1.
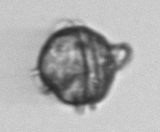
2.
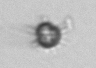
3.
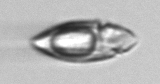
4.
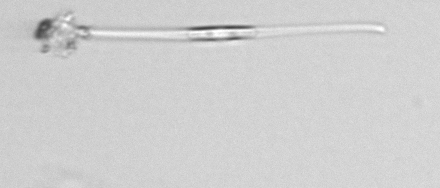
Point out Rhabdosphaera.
That is picture 2.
